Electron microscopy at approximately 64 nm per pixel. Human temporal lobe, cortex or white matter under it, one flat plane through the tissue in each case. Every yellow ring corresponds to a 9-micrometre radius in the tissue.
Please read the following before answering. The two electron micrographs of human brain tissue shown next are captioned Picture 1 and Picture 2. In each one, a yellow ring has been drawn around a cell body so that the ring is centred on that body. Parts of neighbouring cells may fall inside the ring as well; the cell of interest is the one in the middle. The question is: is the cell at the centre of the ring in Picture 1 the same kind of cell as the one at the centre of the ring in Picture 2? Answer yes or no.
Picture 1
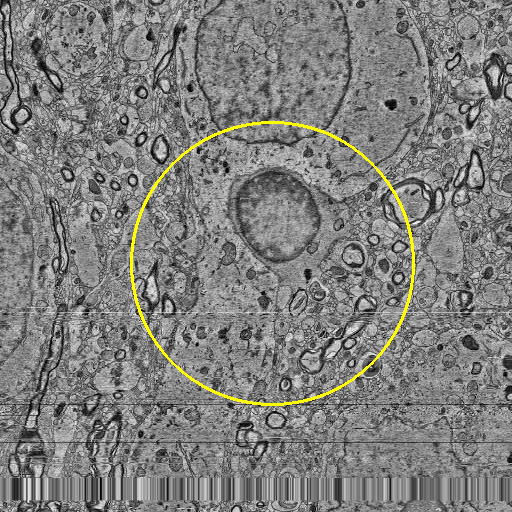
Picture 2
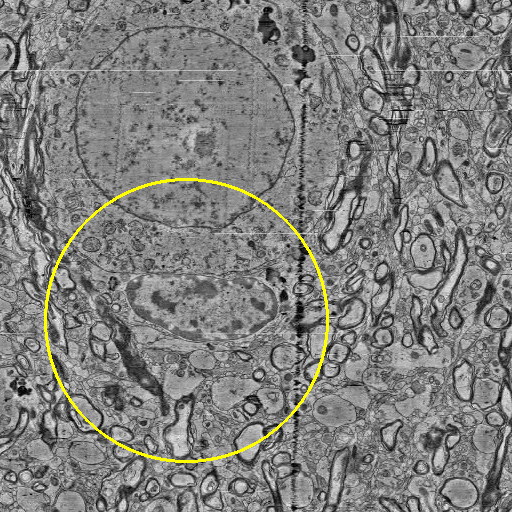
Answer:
no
